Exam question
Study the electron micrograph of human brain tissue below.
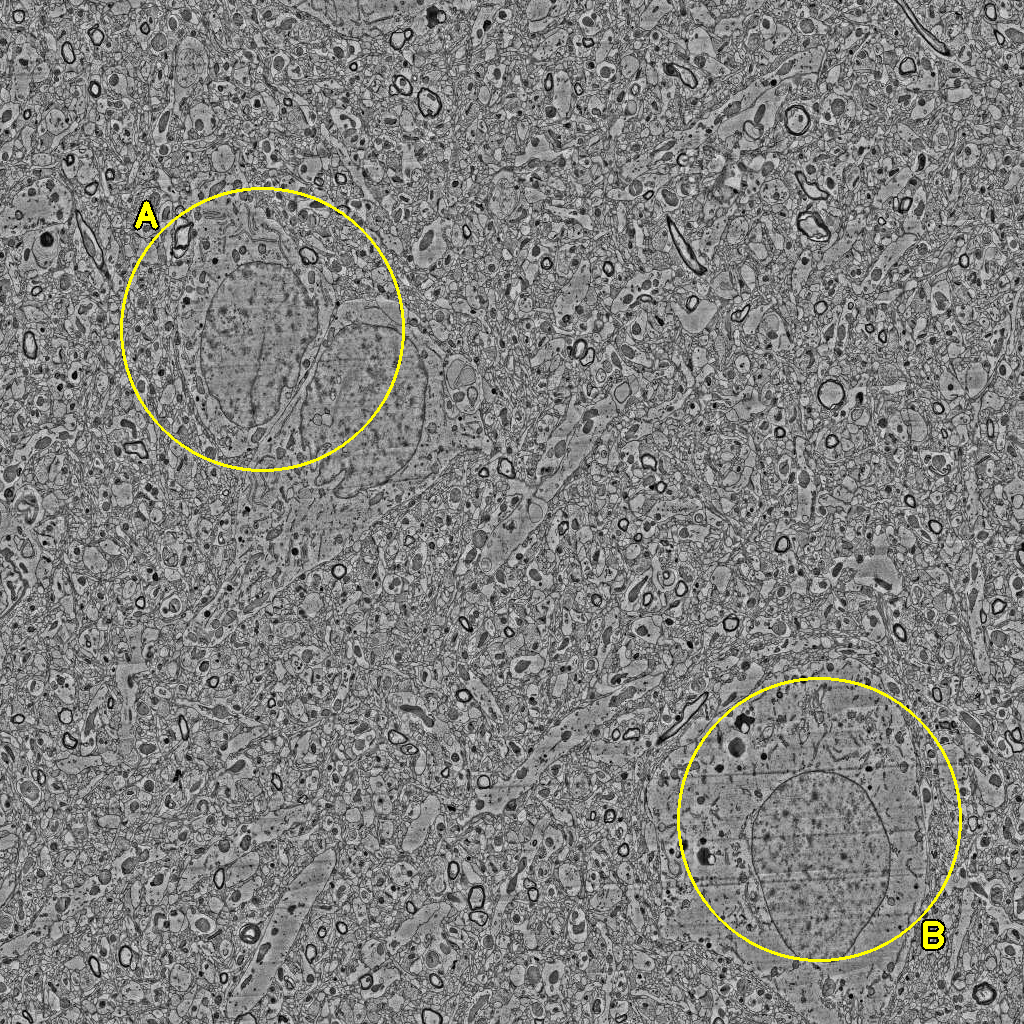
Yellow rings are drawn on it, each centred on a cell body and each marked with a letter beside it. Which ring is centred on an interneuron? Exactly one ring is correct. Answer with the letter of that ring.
A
